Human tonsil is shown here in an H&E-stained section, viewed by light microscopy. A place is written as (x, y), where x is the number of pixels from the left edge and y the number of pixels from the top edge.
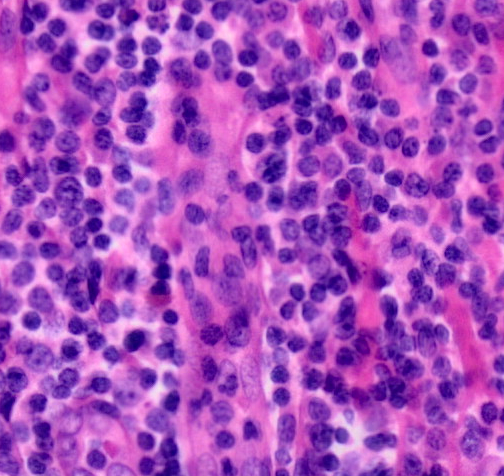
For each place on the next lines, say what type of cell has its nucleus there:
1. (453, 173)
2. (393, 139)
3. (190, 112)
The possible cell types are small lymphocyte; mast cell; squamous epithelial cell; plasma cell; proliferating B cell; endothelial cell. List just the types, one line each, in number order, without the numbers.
plasma cell
plasma cell
endothelial cell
